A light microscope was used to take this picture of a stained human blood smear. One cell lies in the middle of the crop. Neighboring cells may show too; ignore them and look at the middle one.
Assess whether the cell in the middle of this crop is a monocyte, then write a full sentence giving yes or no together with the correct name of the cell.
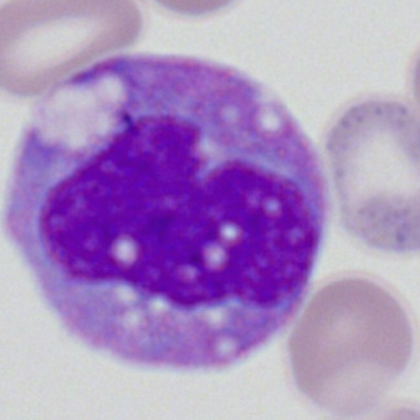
Yes, the cell right in the middle is a monocyte.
